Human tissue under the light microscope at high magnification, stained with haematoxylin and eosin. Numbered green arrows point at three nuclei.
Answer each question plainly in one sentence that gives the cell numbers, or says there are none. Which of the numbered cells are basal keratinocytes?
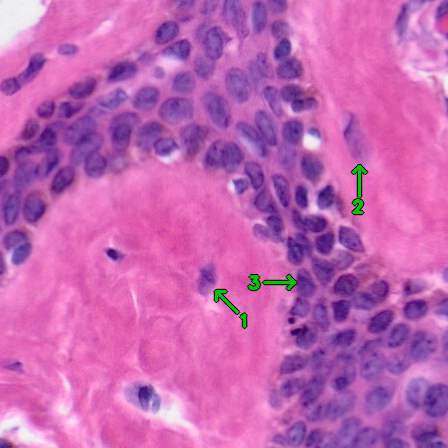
Only the cell carrying number 3 is a basal keratinocyte.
